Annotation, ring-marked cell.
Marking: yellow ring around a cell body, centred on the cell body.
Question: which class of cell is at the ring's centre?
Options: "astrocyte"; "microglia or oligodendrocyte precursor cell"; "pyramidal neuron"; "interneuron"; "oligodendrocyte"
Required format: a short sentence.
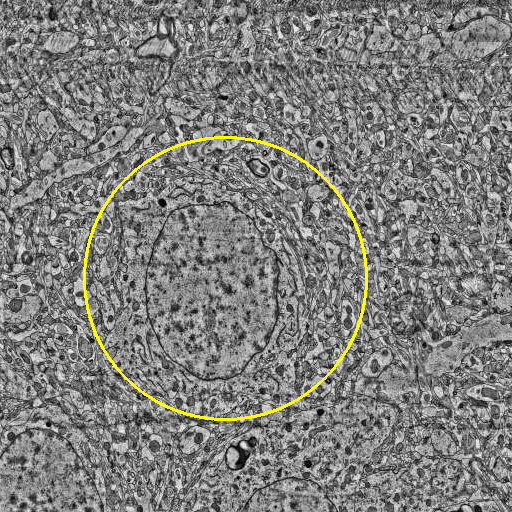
At the ring's centre is a pyramidal neuron.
